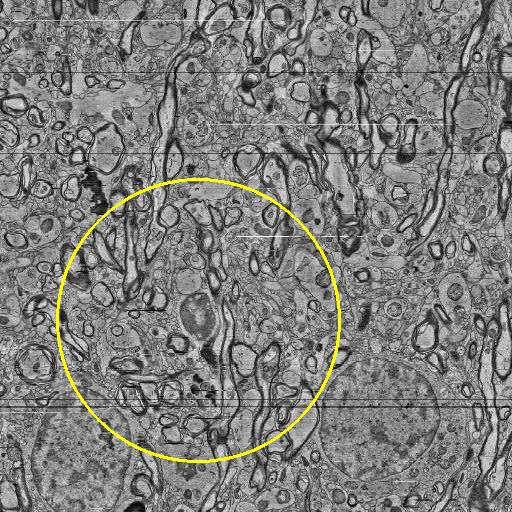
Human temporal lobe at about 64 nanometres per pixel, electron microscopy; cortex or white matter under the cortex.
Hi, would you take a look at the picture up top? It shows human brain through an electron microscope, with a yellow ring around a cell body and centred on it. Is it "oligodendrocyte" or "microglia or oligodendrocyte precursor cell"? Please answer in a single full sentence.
The best fit for the cell in the middle of the ring is a microglial cell or oligodendrocyte precursor cell, I reckon.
